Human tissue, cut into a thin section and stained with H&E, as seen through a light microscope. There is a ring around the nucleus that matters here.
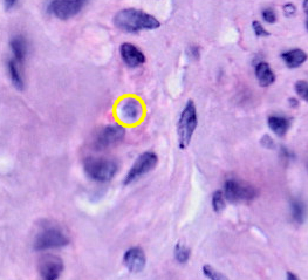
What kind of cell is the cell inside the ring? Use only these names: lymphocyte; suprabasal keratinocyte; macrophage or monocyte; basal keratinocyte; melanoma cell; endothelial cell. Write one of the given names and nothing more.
endothelial cell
